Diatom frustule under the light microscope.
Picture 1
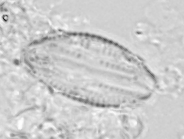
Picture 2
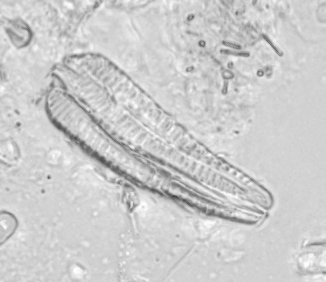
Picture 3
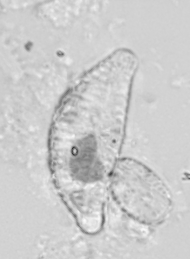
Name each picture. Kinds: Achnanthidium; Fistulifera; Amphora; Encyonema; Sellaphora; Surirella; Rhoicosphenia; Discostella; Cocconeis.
1: Amphora
2: Rhoicosphenia
3: Encyonema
